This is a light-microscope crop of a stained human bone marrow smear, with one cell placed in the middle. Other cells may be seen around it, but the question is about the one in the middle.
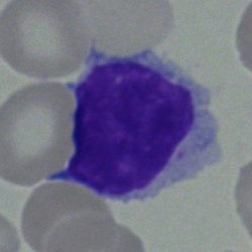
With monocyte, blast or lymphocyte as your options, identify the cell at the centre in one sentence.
The middle of this crop is occupied by a lymphocyte.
